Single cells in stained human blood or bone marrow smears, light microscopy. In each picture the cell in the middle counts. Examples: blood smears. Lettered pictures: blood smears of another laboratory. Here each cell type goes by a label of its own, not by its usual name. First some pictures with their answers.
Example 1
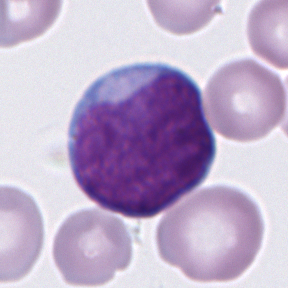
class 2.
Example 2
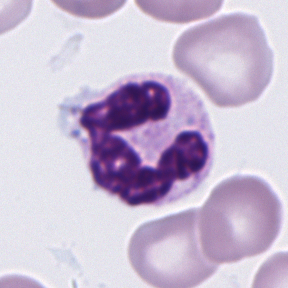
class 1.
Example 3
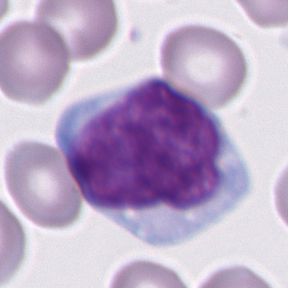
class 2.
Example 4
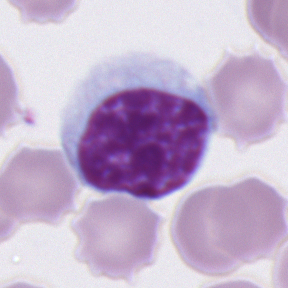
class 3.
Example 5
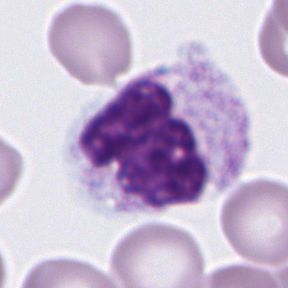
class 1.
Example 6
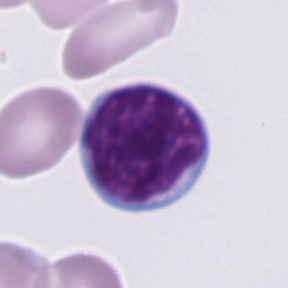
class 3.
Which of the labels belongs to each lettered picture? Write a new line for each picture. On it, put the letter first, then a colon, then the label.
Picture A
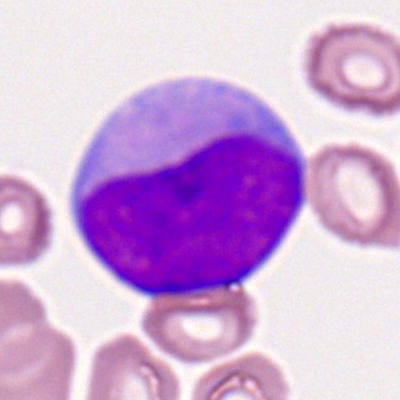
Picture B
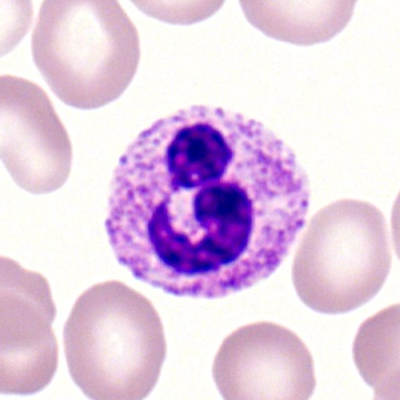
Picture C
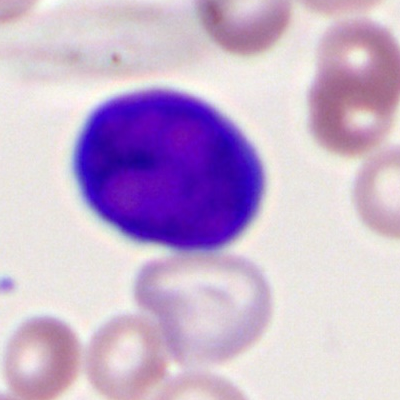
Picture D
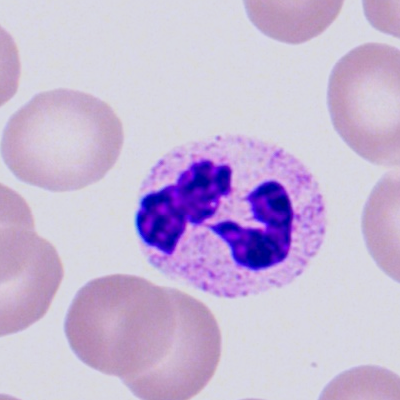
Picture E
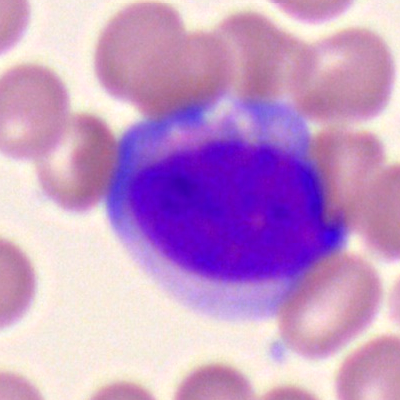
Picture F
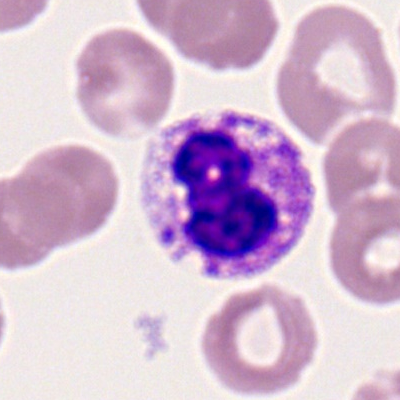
A: class 2.
B: class 1.
C: class 2.
D: class 1.
E: class 2.
F: class 1.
